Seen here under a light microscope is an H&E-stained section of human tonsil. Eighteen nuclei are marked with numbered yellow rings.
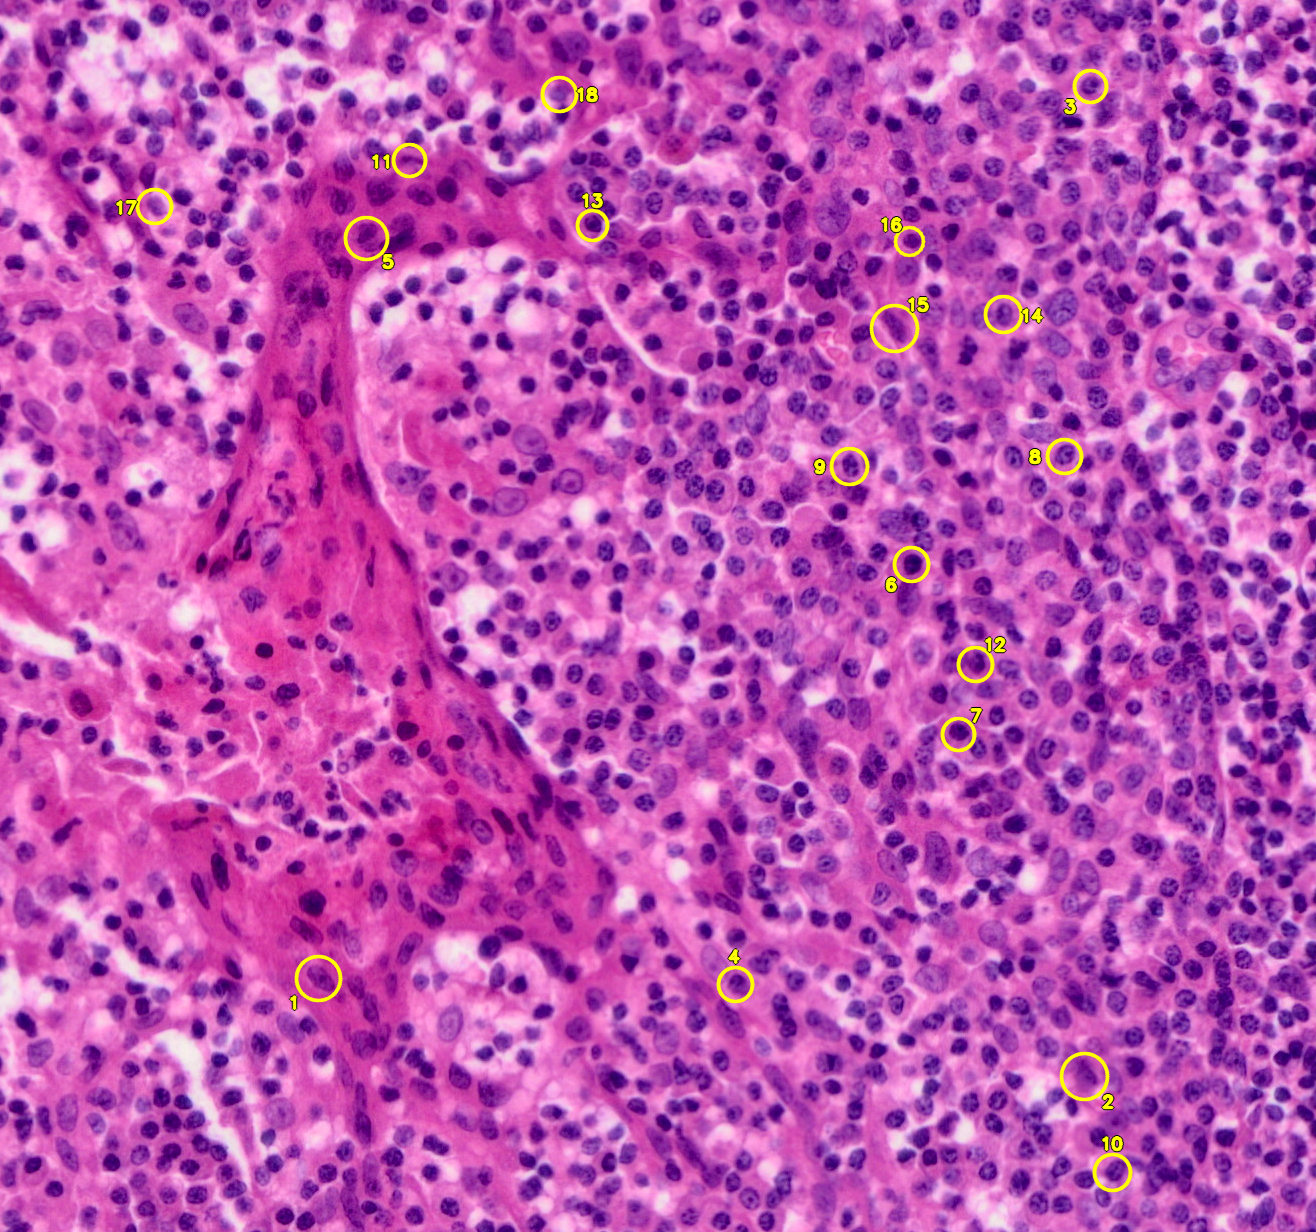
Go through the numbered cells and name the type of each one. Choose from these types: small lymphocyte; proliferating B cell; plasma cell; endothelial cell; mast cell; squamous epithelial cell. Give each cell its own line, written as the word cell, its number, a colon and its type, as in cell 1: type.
cell 1: squamous epithelial cell
cell 2: squamous epithelial cell
cell 3: plasma cell
cell 4: plasma cell
cell 5: squamous epithelial cell
cell 6: plasma cell
cell 7: plasma cell
cell 8: plasma cell
cell 9: plasma cell
cell 10: plasma cell
cell 11: squamous epithelial cell
cell 12: plasma cell
cell 13: plasma cell
cell 14: plasma cell
cell 15: squamous epithelial cell
cell 16: squamous epithelial cell
cell 17: squamous epithelial cell
cell 18: squamous epithelial cell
